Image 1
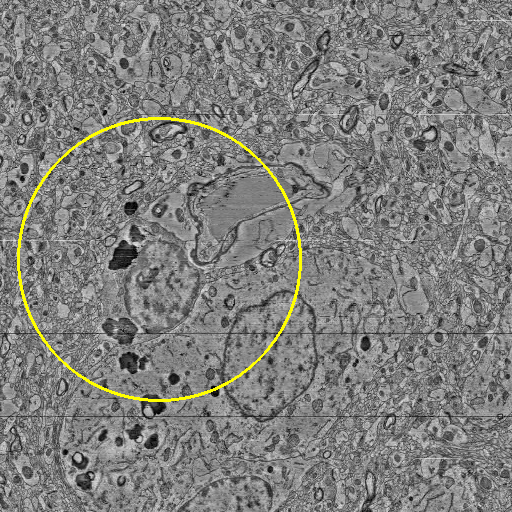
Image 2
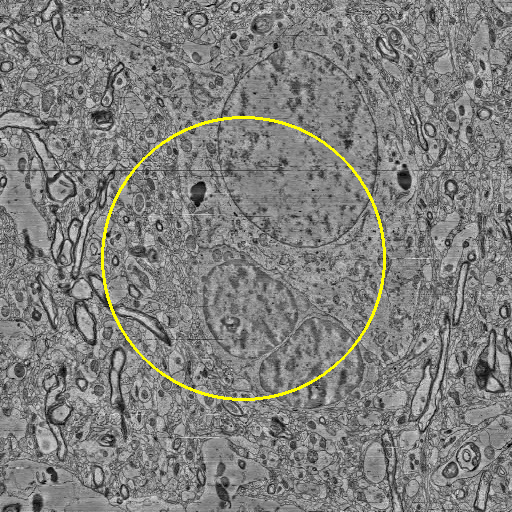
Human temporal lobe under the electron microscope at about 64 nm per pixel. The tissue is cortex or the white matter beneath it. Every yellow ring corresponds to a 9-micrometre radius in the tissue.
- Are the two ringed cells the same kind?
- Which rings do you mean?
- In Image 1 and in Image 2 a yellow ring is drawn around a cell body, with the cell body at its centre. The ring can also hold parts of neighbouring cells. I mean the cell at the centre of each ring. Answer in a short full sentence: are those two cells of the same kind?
Yes, both cells are of the same kind.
